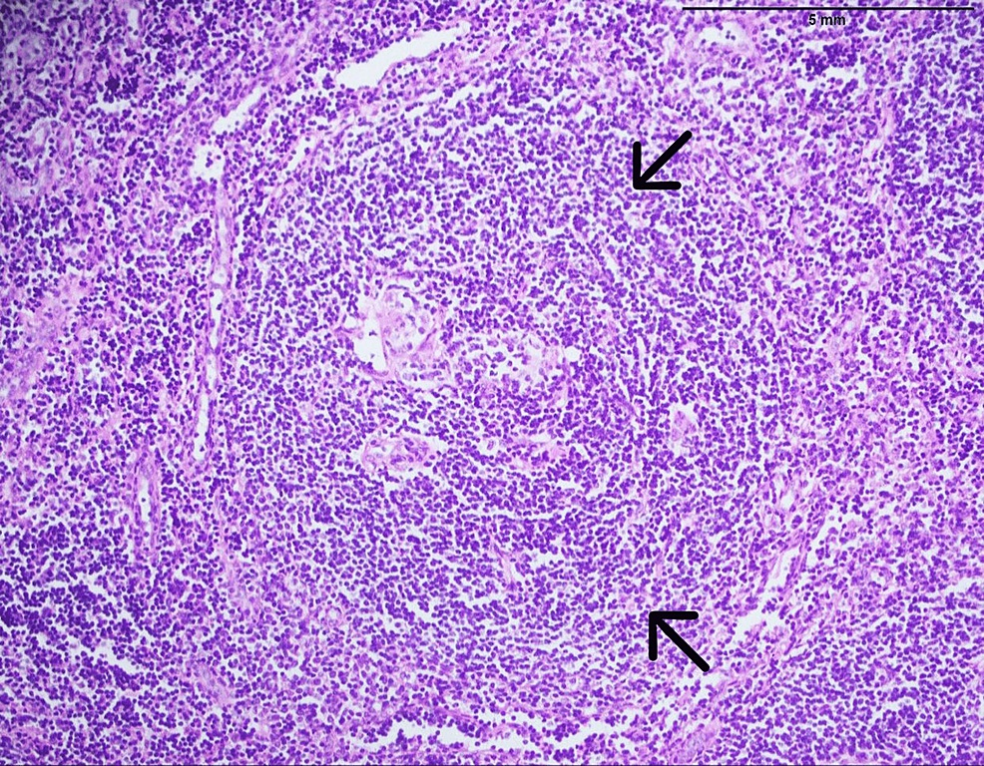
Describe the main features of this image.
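This is lymph node tissue packed with small, round, dark purple lymphocytes. At the centre is a rounded follicle with a paler middle area crossed by small vessels that have pink walls. Around this middle area, the small lymphocytes form concentric rings. Outside the follicle, more sheets of lymphocytes surround scattered small vessels. This layered arrangement of the mantle zone gives it an onion skin appearance.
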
